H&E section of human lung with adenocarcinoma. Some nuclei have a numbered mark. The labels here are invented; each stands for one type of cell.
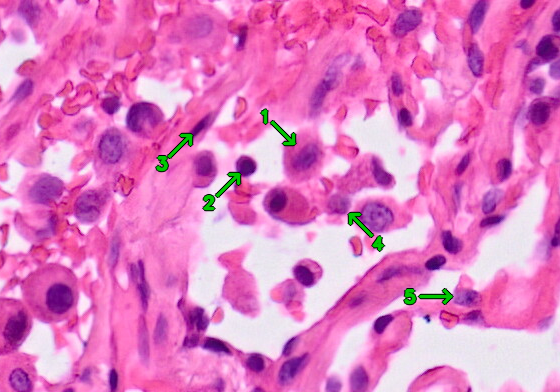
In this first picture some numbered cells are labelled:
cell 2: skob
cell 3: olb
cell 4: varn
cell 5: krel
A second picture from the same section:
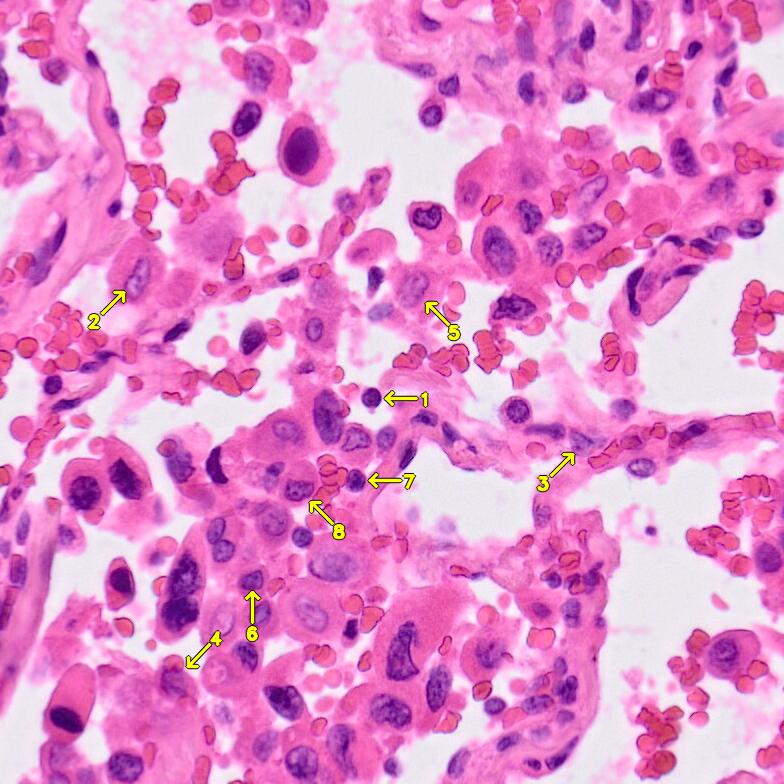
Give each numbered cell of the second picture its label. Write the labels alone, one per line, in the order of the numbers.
skob
varn
krel
varn
varn
varn
skob
varn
